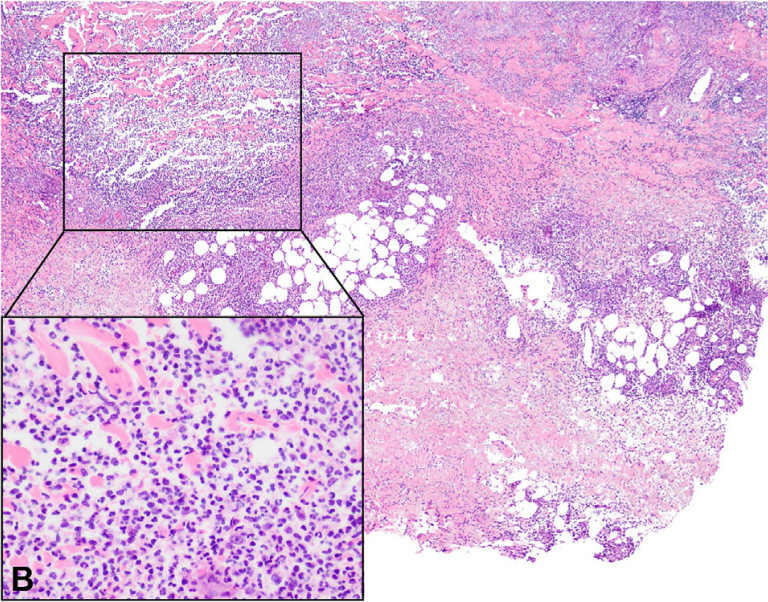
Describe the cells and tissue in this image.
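Deep dermis and subcutis are densely infiltrated by small dark-staining inflammatory cells lying between pink collagen bundles and around clusters of empty round fat cells. At higher magnification in the inset, most cells are neutrophils with segmented, lobed nuclei, mixed with scattered small fragments of nuclear dust among the collagen fibres.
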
